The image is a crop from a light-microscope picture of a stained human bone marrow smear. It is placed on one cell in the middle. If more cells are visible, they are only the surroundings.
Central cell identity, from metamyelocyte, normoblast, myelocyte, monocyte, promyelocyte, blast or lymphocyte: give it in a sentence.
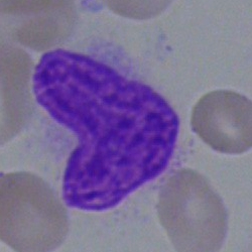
The identification for the central cell is a monocyte.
